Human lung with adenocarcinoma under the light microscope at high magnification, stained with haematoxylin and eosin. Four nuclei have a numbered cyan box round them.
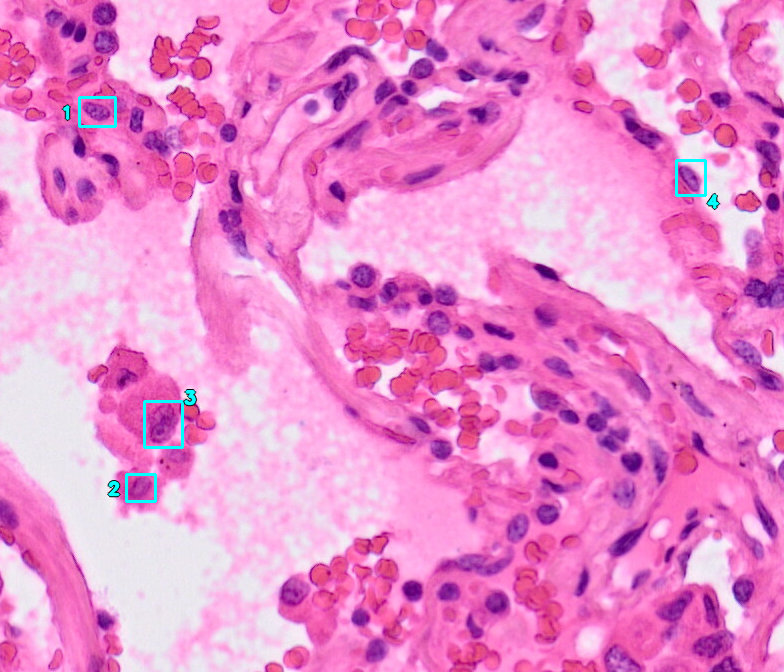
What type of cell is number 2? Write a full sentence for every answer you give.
The correct answer for cell 2 is a macrophage or monocyte.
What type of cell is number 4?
In the tissue shown, cell 4 is a type I pneumocyte.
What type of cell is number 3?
Denoted by the label 3 in the section is a macrophage or monocyte.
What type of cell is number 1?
The cell numbered 1 represents a type I pneumocyte.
